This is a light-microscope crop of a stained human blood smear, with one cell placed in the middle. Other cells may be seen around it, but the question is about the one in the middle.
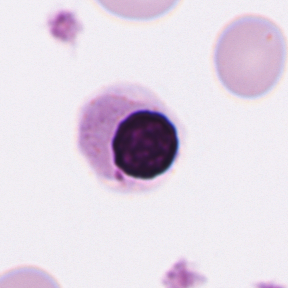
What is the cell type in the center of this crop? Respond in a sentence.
The cell in the middle of the field of view is a normoblast.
